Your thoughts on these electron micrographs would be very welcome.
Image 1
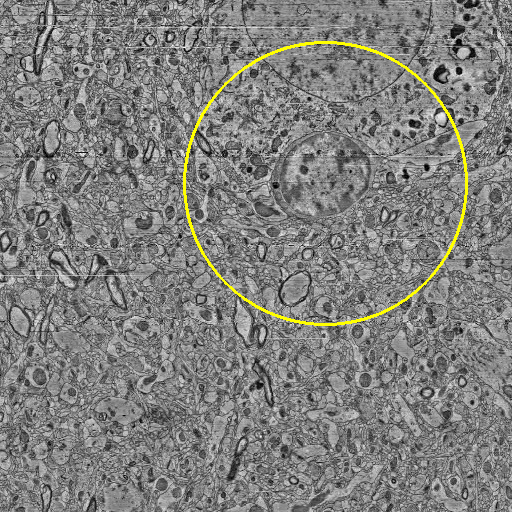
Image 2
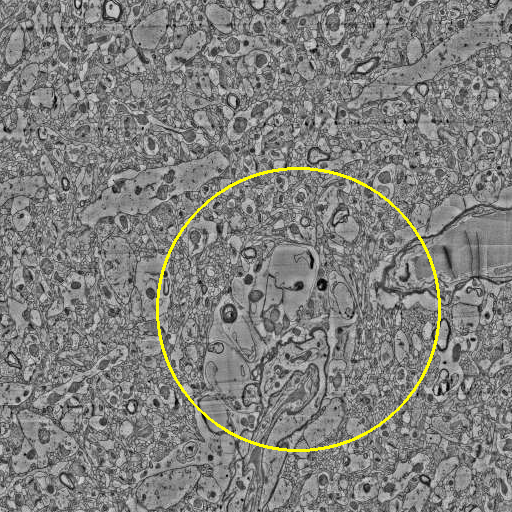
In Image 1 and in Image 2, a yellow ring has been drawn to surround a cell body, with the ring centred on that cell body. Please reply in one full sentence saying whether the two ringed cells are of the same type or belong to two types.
The ringed cells in Image 1 and Image 2 belong to two types.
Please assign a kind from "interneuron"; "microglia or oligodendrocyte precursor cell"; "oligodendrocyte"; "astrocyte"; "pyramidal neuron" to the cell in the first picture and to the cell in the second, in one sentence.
In the first picture we have an oligodendrocyte, and in the second, a microglial cell or oligodendrocyte precursor cell.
